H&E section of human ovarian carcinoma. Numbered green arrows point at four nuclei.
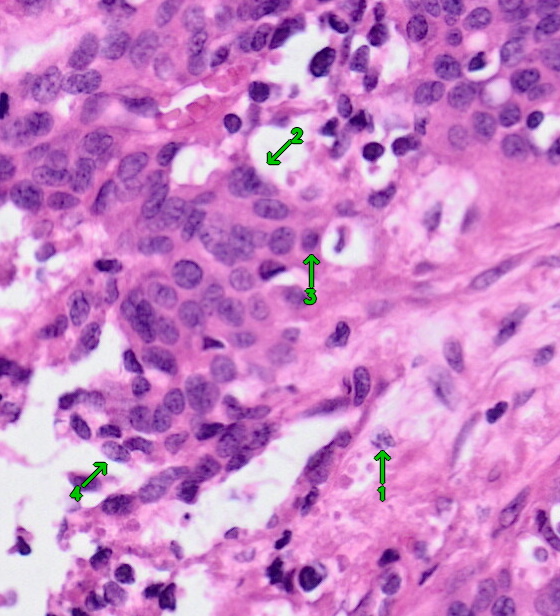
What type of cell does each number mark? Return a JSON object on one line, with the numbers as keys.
{"1": "macrophage or monocyte", "2": "carcinoma cell", "3": "carcinoma cell", "4": "carcinoma cell"}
